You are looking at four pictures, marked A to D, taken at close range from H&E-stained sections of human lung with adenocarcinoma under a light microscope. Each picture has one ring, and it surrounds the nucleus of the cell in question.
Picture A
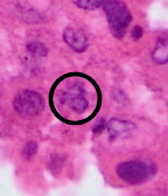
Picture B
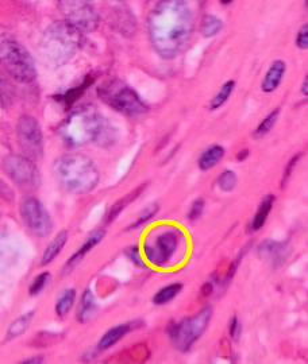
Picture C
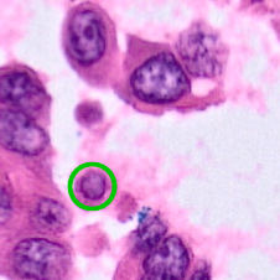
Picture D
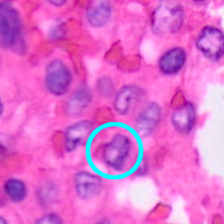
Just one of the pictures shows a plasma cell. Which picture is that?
B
